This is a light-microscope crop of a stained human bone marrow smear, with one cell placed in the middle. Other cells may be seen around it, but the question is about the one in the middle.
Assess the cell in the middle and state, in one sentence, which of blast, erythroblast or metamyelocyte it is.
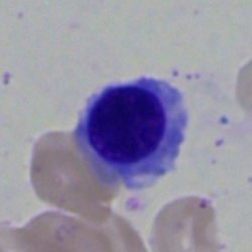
Classification of the middle cell gives an erythroblast.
